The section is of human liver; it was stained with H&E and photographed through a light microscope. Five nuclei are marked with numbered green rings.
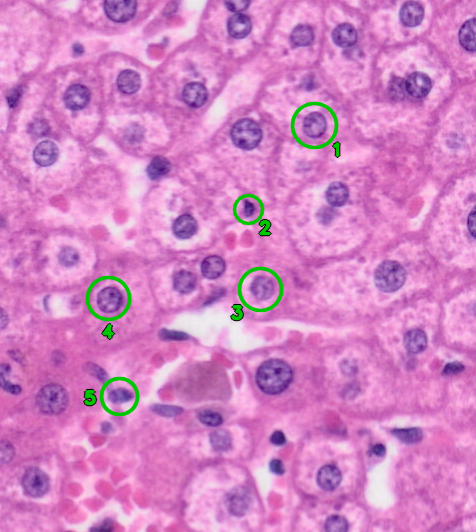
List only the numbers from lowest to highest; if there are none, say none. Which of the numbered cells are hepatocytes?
1, 3, 4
